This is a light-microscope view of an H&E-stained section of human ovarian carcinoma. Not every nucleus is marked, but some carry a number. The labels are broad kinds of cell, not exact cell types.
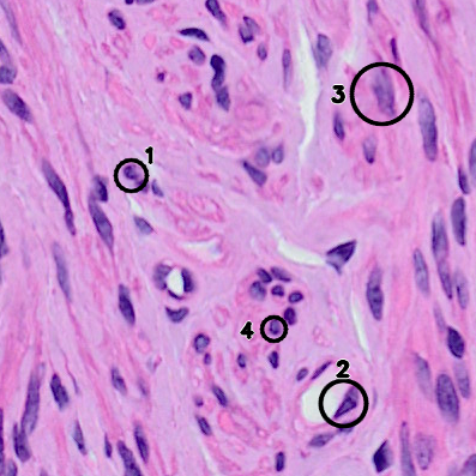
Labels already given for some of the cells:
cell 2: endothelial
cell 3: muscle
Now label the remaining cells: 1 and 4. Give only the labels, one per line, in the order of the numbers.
muscle
muscle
